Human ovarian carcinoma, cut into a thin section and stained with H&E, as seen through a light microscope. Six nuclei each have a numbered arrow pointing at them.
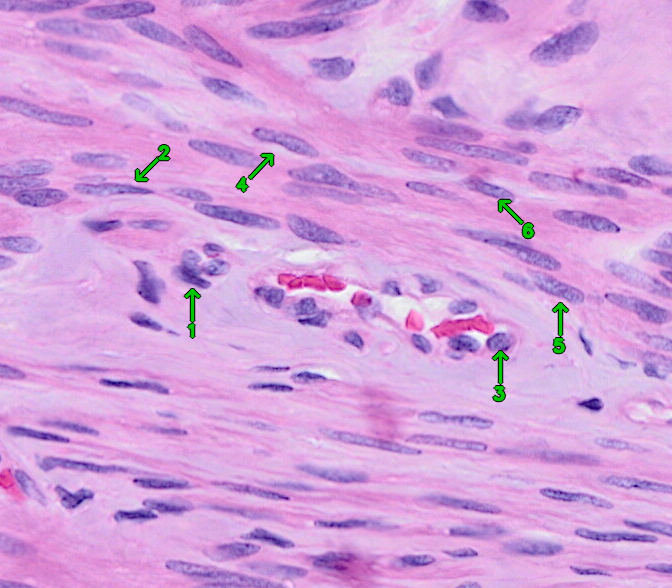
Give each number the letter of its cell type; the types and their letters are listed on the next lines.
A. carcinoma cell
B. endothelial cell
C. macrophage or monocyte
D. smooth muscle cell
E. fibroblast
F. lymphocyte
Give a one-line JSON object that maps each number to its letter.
{"1": "E", "2": "D", "3": "B", "4": "D", "5": "D", "6": "D"}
